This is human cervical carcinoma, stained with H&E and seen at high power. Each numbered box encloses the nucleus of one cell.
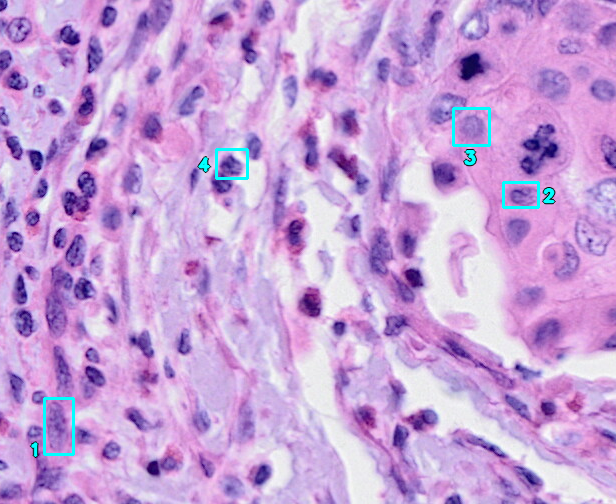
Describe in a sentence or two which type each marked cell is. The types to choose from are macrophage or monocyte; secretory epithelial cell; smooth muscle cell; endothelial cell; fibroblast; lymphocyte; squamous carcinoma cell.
Cell 1 is an endothelial cell. Cells 2 and 3 are squamous carcinoma cells. Cell 4 is a lymphocyte.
